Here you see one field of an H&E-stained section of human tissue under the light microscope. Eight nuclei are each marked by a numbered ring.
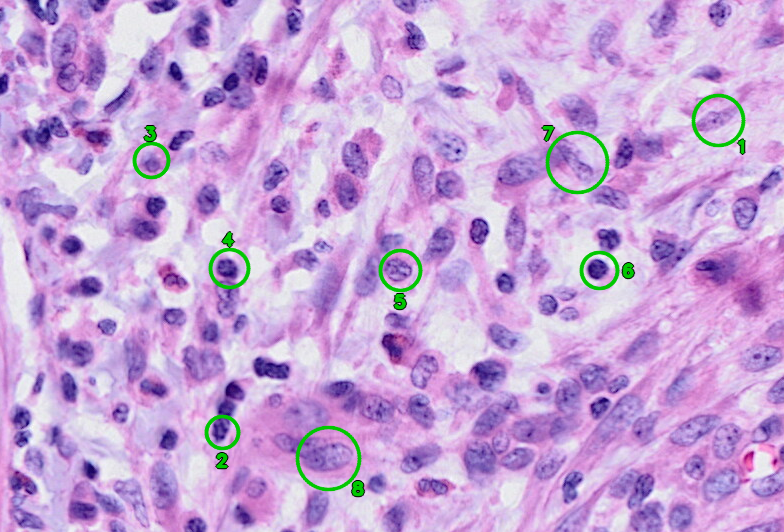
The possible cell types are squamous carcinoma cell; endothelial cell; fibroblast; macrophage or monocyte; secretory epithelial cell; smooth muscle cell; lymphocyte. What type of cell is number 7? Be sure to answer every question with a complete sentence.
The cell numbered 7 represents a fibroblast.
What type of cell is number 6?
To a lymphocyte belongs the nucleus marked 6.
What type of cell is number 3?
The one numbered 3 among the marked cells is a macrophage or monocyte.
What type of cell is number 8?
Corresponding to an endothelial cell is the cell labelled 8.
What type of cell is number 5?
The cell tagged with 5 in this tissue section is a macrophage or monocyte.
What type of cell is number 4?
The numbered cell 4 in this field is a lymphocyte.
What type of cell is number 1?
The cell assigned the number 1 is a fibroblast.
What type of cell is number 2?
Looking at the numbered marks, cell 2 is a lymphocyte.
